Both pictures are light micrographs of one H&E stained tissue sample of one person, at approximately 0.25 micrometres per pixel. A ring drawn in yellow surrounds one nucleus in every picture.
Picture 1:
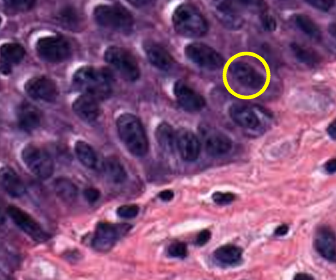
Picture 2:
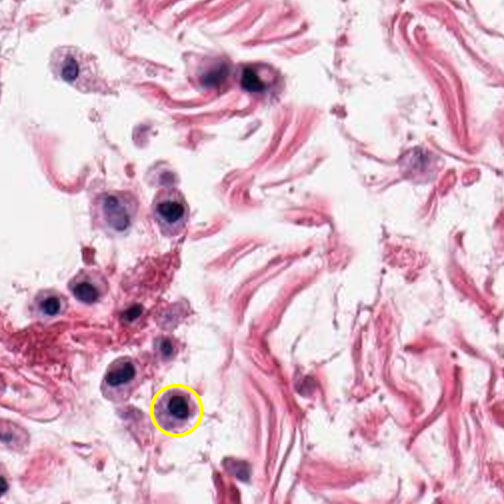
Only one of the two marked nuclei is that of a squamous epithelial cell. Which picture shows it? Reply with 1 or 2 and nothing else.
1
